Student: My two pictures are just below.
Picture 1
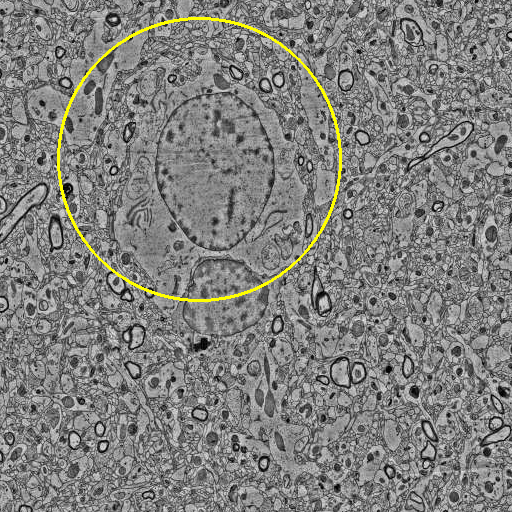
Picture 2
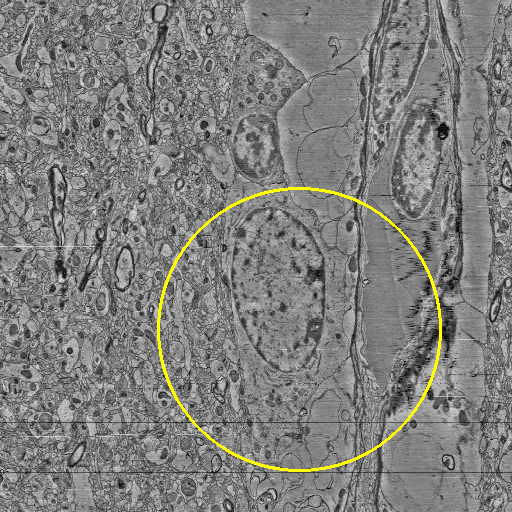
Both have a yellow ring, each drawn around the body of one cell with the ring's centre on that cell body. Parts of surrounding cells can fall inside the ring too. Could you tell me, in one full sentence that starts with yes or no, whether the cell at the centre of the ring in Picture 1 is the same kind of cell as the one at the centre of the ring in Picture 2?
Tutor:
Yes, the two cells are of the same kind.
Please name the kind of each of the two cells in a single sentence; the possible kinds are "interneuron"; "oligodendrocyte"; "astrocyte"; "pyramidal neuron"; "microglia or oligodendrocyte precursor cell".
The cell at the ring centre is a microglial cell or oligodendrocyte precursor cell in both pictures.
